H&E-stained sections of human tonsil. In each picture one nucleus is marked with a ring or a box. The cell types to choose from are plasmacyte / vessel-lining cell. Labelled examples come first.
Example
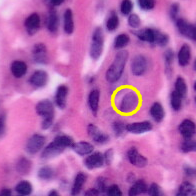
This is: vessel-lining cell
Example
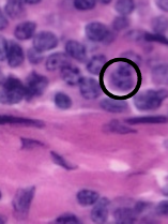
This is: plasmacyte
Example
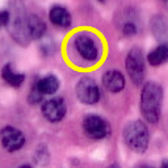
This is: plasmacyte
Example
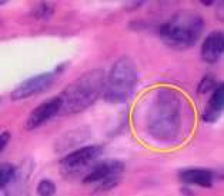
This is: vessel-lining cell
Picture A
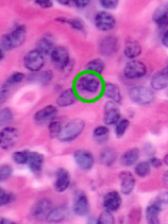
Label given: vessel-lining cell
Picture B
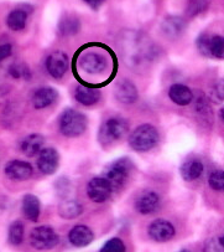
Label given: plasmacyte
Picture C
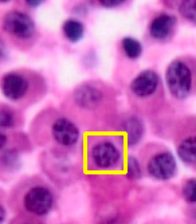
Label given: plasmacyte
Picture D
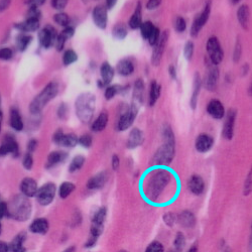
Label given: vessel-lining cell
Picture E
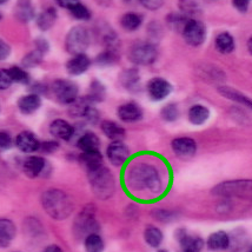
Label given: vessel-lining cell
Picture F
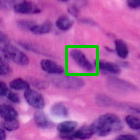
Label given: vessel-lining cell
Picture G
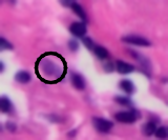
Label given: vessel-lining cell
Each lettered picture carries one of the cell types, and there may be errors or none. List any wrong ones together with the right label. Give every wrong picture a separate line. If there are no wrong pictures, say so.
A is labelled vessel-lining cell; correct label: plasmacyte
